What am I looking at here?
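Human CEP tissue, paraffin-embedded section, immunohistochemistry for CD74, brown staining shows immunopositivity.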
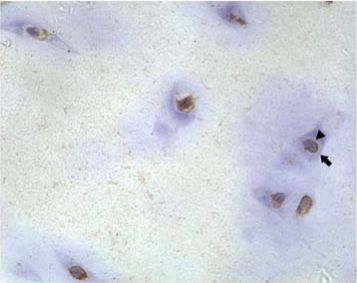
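This is cartilage with scattered chondrocytes, each lying in a lacuna within a pale, homogeneous matrix. The chondrocytes are small and rounded to oval, and they are stained brown. Each lacuna is surrounded by a bluish-purple halo of matrix that fades into the paler matrix between them. The cells lie singly or in small clusters, widely separated by matrix.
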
